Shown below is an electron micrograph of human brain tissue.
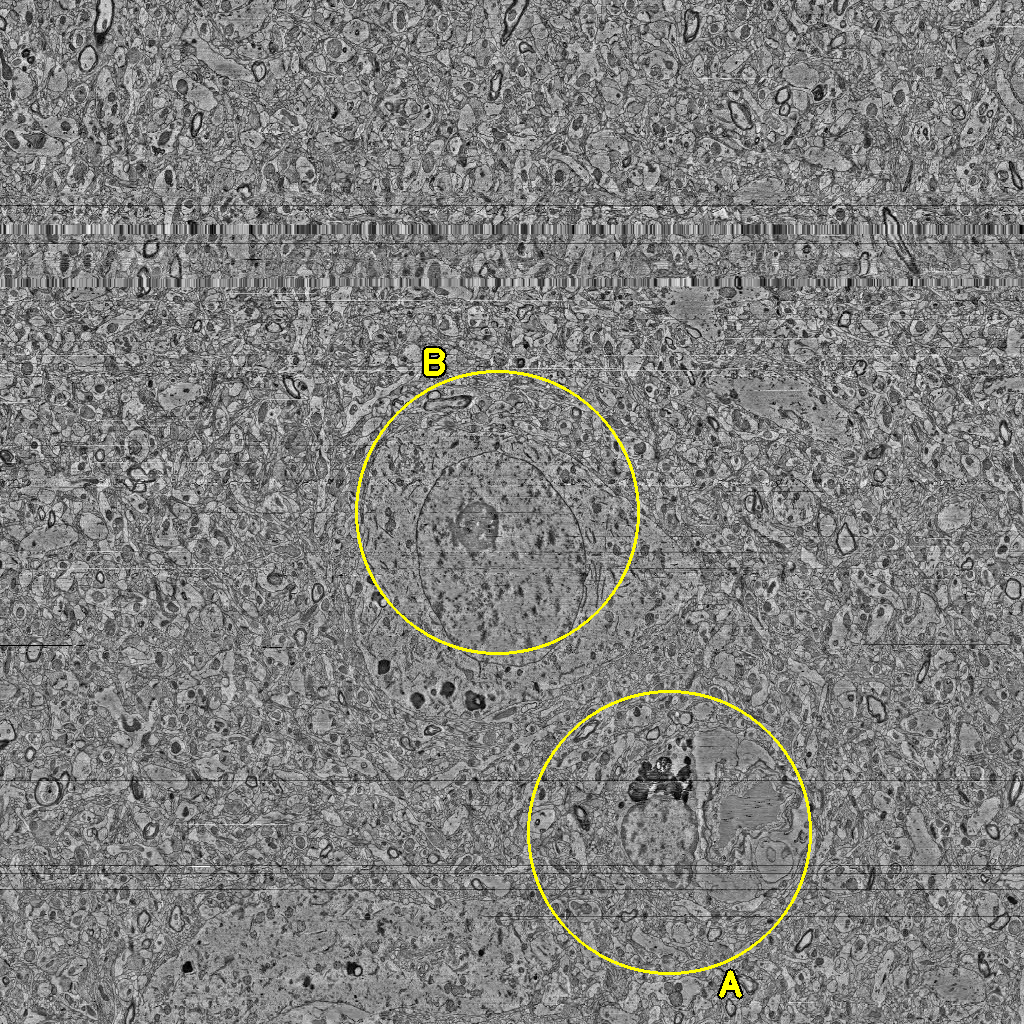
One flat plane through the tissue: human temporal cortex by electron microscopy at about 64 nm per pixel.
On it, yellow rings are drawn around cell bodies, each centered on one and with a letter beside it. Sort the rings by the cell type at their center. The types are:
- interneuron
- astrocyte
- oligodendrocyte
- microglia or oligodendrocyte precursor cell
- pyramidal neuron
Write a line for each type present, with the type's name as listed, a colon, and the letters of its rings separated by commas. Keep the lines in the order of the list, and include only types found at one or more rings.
oligodendrocyte: A
pyramidal neuron: B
